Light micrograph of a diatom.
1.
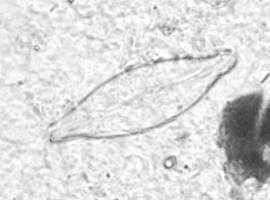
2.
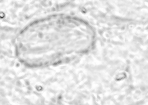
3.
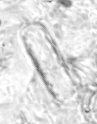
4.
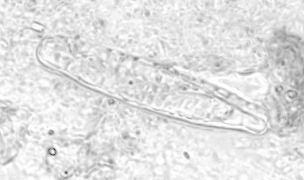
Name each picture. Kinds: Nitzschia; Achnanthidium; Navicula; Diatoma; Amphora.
(1) Navicula
(2) Amphora
(3) Nitzschia
(4) Diatoma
